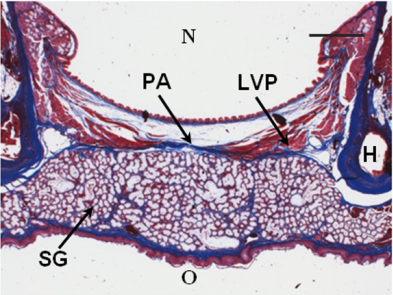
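Across the section a broad band of pale lobules of glandular acini, separated by fine blue septa, fills the oral side beneath a thin epithelium. Above it a thin blue sheet of dense connective tissue runs across, and red-stained muscle fibre bundles descend from either side to join it, next to a bony hook-shaped structure at the right edge.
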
